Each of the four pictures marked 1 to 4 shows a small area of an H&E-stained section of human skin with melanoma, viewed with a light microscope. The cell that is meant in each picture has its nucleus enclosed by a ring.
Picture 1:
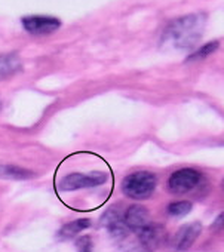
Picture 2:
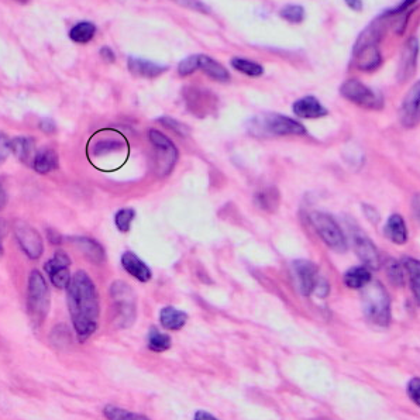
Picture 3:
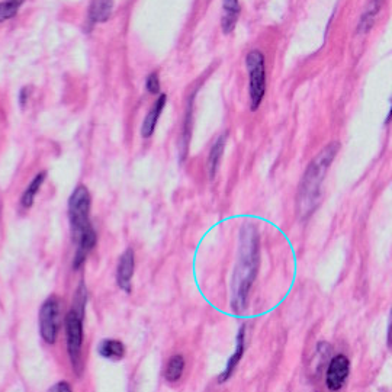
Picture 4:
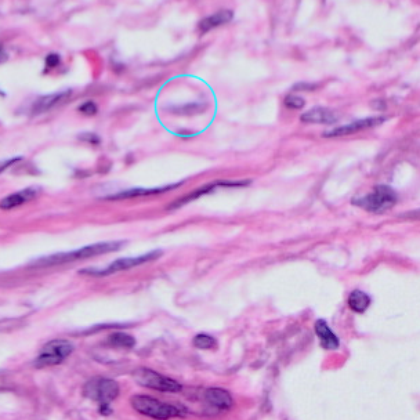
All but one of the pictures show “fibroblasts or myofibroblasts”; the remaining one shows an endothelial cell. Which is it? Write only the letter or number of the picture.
2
